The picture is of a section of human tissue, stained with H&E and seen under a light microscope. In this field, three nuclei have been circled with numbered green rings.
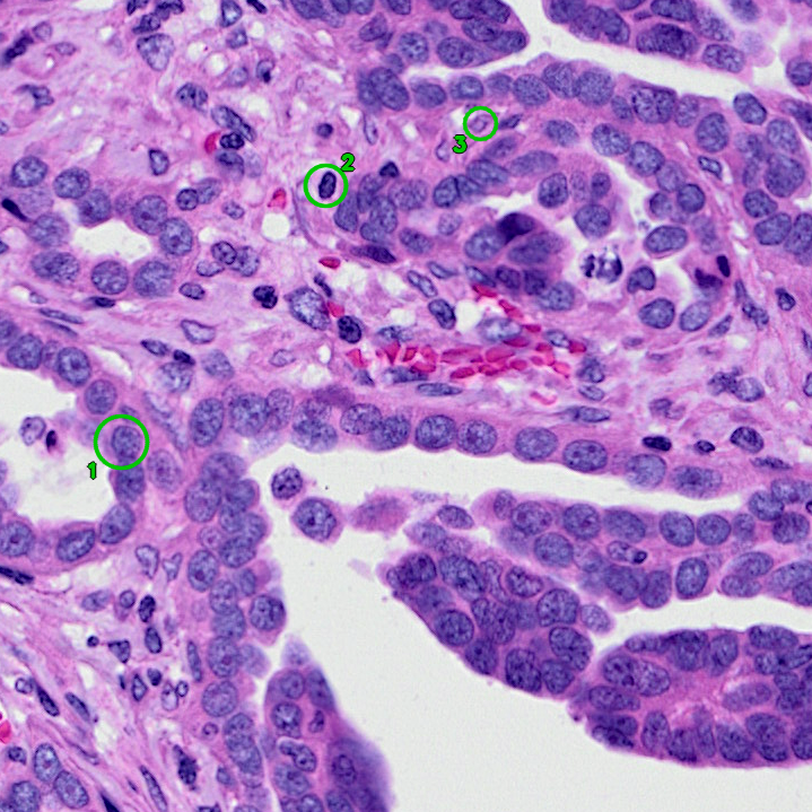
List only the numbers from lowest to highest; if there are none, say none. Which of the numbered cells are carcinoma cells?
1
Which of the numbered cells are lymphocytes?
2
